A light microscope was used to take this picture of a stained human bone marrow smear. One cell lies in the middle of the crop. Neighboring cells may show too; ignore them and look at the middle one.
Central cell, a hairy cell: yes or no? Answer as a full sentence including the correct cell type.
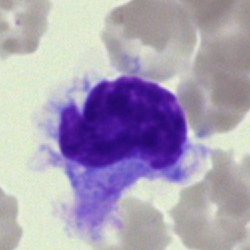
Yes, the cell of interest in the middle is a hairy cell.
